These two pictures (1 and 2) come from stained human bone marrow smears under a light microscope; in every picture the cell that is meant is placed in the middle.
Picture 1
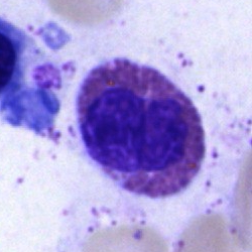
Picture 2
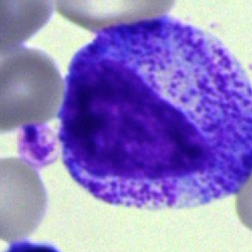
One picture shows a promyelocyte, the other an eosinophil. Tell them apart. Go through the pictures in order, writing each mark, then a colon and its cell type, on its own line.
1: eosinophil
2: promyelocyte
